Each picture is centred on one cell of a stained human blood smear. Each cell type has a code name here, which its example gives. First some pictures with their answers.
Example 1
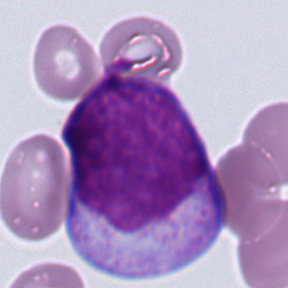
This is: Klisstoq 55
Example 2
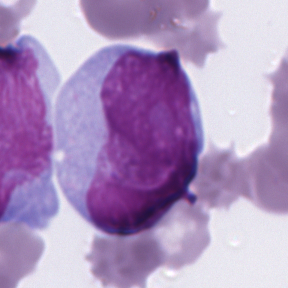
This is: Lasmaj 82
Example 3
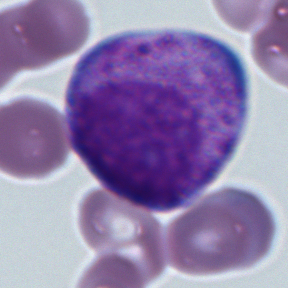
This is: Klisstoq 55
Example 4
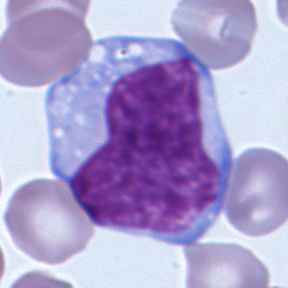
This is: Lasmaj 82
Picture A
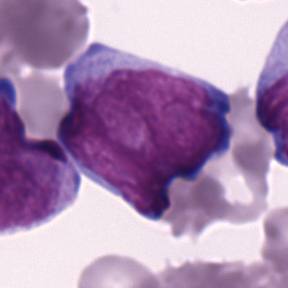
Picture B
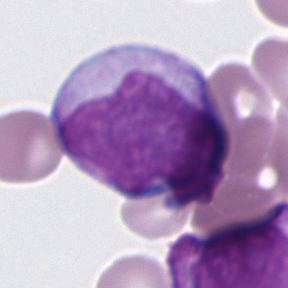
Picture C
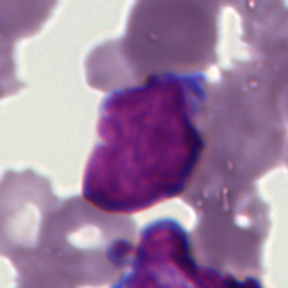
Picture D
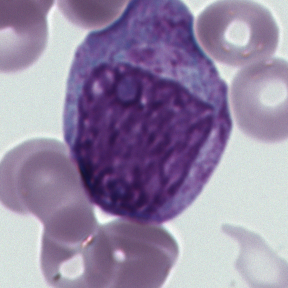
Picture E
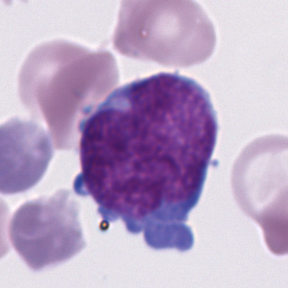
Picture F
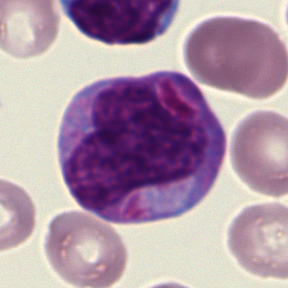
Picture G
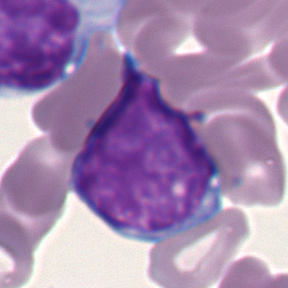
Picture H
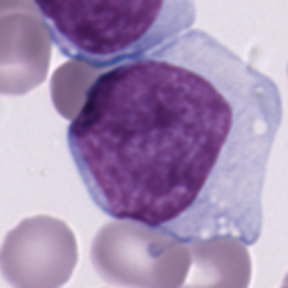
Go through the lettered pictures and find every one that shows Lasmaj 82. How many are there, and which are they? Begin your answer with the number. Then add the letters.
Count: 5 (A, C, E, G, H)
